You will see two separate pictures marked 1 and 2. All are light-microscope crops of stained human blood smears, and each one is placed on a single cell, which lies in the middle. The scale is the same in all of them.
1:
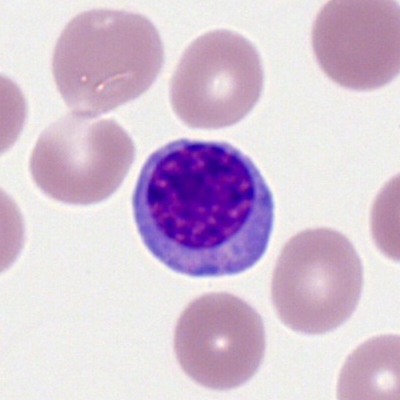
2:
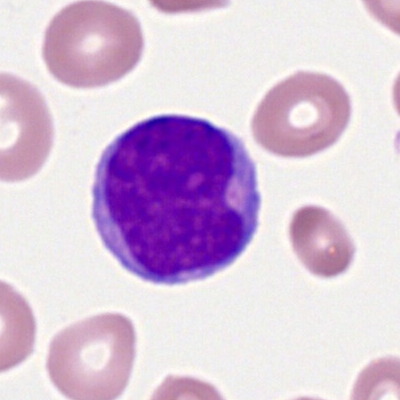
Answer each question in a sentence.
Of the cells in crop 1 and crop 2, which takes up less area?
The cell in crop 1 is smaller; the one in crop 2 has about 1.5 times its area.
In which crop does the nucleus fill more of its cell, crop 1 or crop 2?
Of the two, the nucleus in crop 2 makes up the greater part of its cell.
